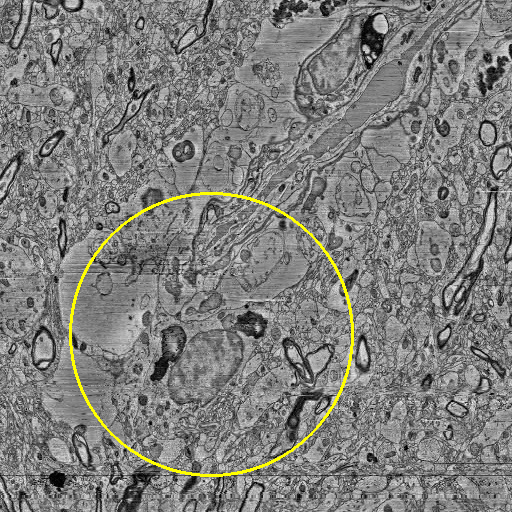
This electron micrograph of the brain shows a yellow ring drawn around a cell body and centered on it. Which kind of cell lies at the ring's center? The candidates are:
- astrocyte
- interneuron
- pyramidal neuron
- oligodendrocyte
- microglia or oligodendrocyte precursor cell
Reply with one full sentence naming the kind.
The cell lying at the ring's center in this micrograph is an oligodendrocyte.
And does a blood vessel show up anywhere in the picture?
Yes, the image shows a blood vessel.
